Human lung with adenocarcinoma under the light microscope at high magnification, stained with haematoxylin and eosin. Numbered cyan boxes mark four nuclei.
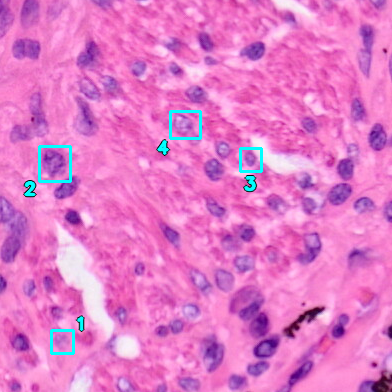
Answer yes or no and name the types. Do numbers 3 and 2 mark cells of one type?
No, cell 3 is a smooth muscle cell or pericyte and cell 2 is a plasma cell.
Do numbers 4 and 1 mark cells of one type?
Yes, both are smooth muscle cells or pericytes.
